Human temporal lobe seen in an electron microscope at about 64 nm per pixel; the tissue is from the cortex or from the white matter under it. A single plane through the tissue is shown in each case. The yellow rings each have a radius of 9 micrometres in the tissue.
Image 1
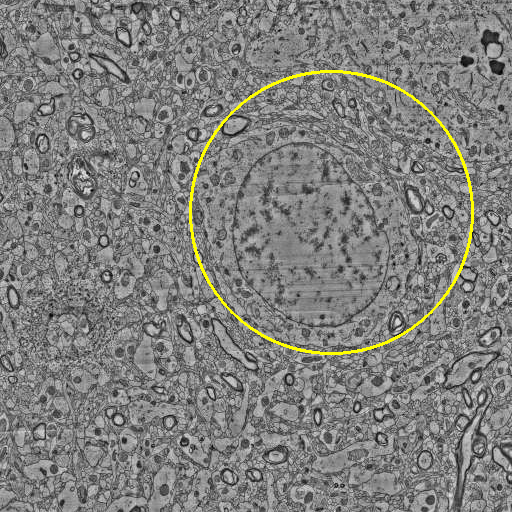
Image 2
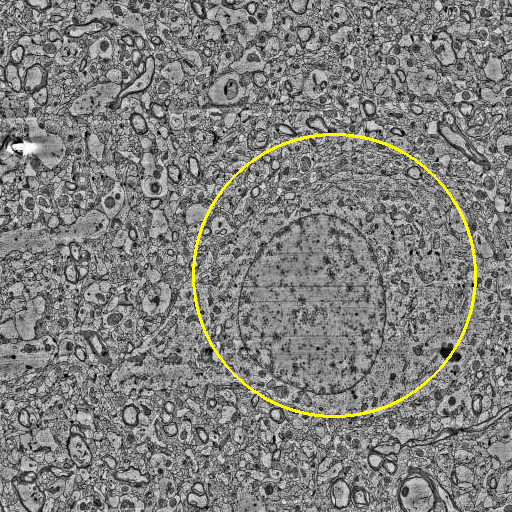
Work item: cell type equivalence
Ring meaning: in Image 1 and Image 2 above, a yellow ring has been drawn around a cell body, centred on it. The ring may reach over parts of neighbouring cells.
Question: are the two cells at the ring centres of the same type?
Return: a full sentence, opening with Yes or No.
No, the two centred cells are of two types.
